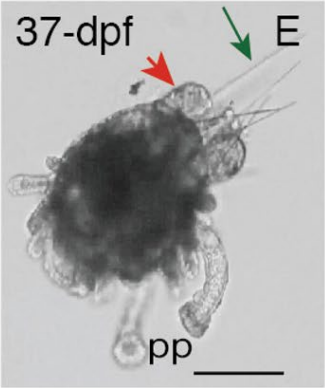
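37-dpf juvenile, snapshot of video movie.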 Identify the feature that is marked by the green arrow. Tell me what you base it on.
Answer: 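Thin, straight, clear rods project from the upper right of the body. The rods contain no cells and extend far beyond the soft tissue.
Spicules.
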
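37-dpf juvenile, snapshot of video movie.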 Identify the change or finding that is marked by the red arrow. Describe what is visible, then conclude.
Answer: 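Only a short rounded stub of tissue sits where the arrow points. Bare rods extend beyond the stub.
Larval arms retreated.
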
